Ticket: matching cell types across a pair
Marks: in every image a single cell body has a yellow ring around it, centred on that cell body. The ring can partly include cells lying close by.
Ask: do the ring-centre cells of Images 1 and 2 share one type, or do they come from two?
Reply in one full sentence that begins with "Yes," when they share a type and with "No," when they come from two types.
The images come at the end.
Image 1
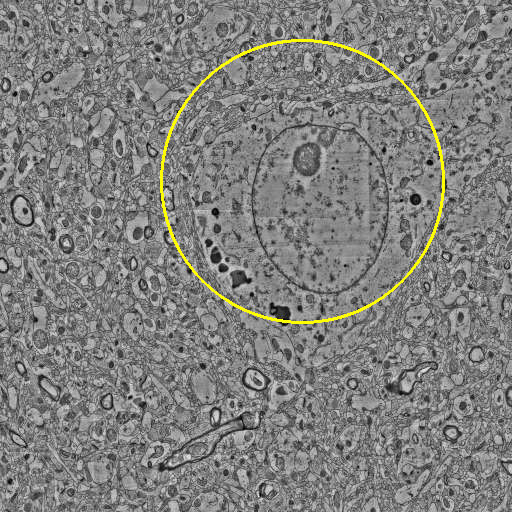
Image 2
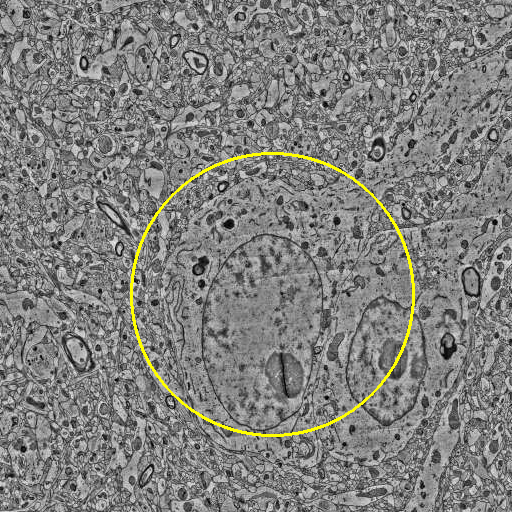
Yes, the cells in the centres of the rings in Image 1 and Image 2 share one type.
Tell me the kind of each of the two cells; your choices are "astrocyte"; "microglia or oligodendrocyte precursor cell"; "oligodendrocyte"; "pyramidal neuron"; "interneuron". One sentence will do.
Both rings mark a pyramidal neuron, one in each picture.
